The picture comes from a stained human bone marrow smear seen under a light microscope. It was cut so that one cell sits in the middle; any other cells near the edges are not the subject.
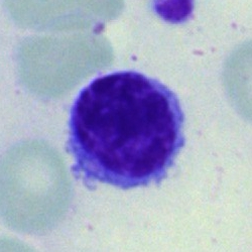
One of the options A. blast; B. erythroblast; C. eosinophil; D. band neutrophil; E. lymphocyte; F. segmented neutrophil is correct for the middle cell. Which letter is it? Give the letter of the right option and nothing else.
E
